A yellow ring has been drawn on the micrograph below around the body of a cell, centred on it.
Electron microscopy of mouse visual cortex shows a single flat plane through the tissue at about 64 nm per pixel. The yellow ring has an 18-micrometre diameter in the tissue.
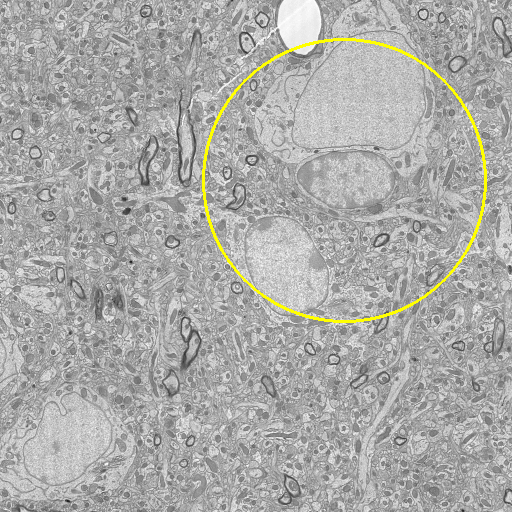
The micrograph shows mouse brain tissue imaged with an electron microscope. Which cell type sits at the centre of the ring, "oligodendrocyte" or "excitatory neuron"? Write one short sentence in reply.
The cell sitting at the centre of the ring is an oligodendrocyte.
